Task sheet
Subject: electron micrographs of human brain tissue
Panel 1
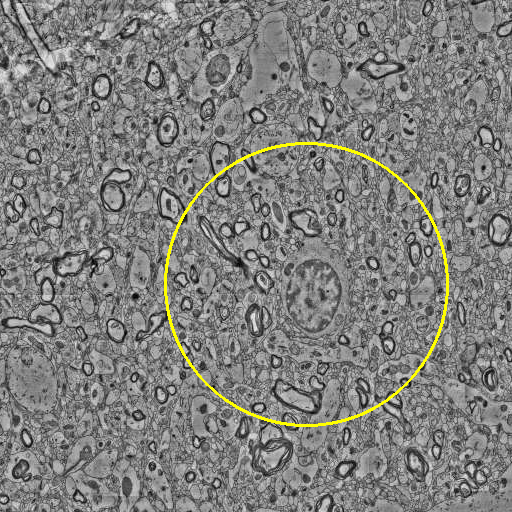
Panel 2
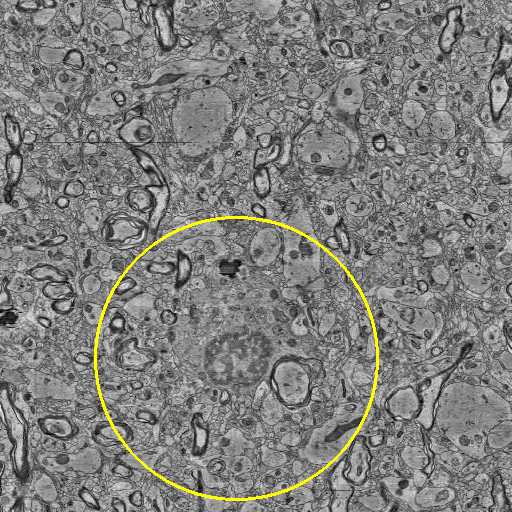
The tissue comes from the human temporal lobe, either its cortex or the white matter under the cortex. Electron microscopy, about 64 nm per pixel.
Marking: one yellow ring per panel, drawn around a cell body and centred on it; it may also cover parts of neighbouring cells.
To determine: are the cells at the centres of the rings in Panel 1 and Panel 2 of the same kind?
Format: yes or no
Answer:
yes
